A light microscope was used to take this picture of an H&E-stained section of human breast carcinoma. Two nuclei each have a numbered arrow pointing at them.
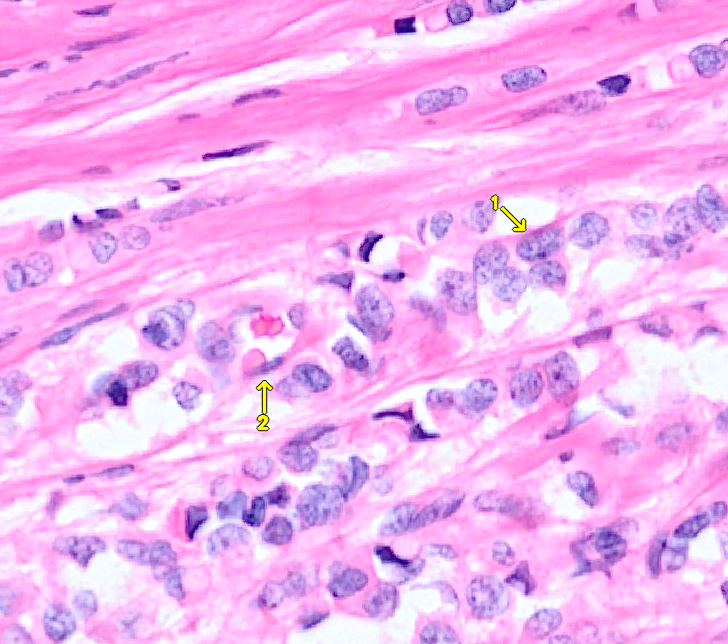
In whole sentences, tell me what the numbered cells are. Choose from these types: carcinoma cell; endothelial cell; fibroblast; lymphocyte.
Cell 1 is a carcinoma cell. Cell 2 is an endothelial cell.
